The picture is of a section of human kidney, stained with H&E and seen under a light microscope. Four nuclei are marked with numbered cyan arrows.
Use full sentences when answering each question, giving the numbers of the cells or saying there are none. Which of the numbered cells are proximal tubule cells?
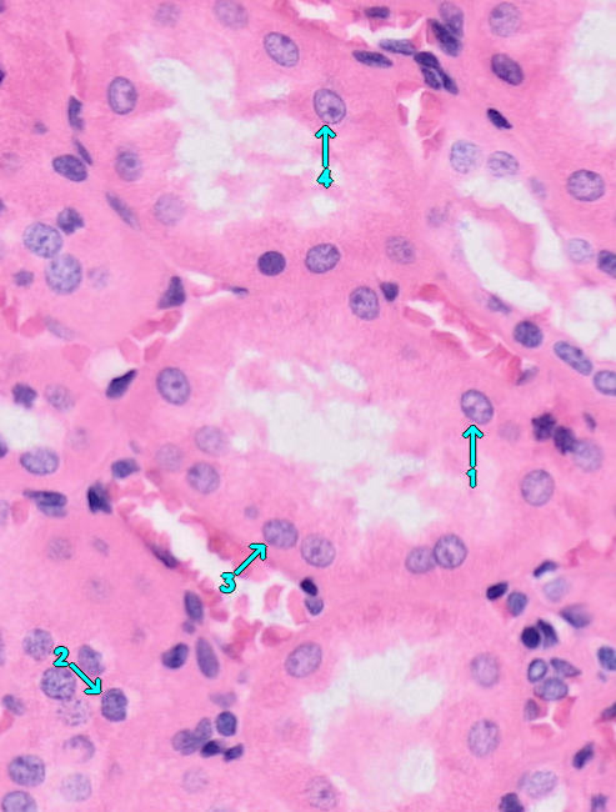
Classified as proximal tubule cells are the cells numbered 1, 3 and 4.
